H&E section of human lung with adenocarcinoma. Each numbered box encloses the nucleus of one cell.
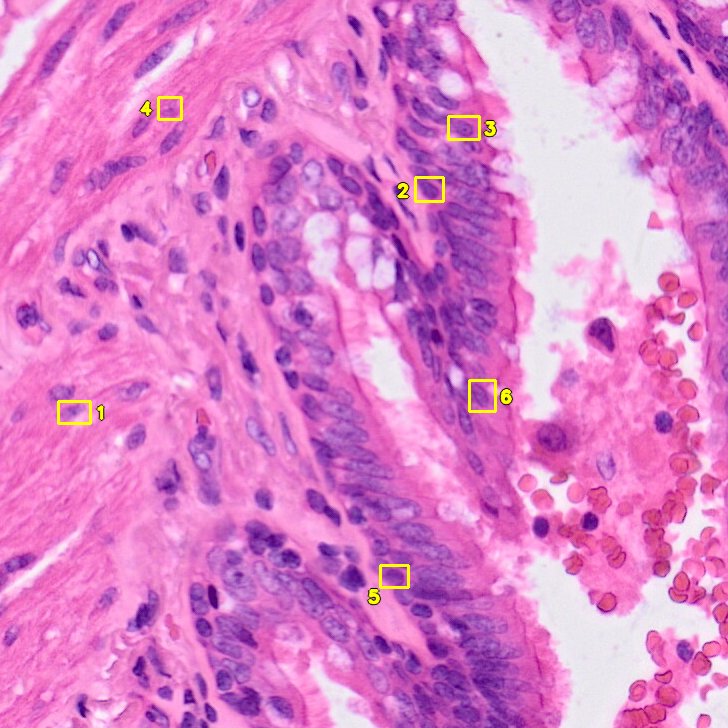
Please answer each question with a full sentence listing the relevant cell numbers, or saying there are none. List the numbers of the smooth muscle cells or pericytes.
As for the cells numbered 1 and 4, they are smooth muscle cells or pericytes.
